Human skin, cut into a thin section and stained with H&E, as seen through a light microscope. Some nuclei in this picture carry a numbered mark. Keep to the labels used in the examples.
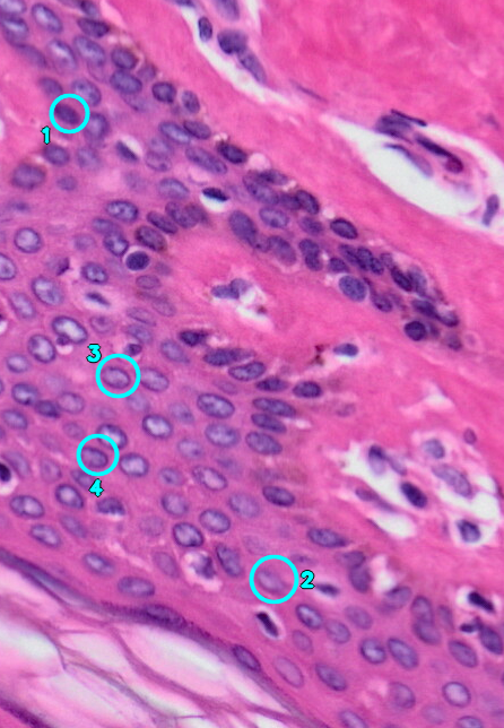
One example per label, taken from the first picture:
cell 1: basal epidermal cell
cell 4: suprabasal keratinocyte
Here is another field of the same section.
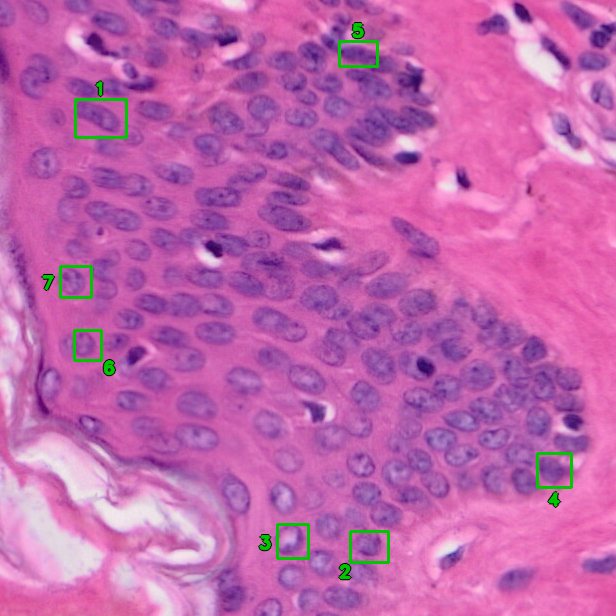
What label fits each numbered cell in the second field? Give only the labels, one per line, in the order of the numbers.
suprabasal keratinocyte
basal epidermal cell
suprabasal keratinocyte
basal epidermal cell
basal epidermal cell
suprabasal keratinocyte
suprabasal keratinocyte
